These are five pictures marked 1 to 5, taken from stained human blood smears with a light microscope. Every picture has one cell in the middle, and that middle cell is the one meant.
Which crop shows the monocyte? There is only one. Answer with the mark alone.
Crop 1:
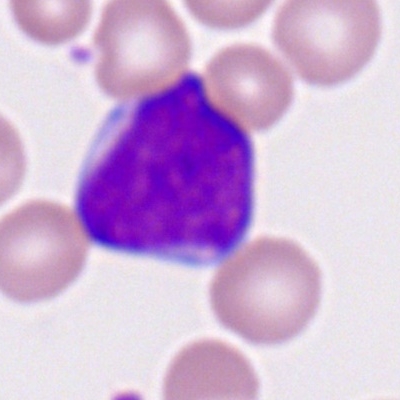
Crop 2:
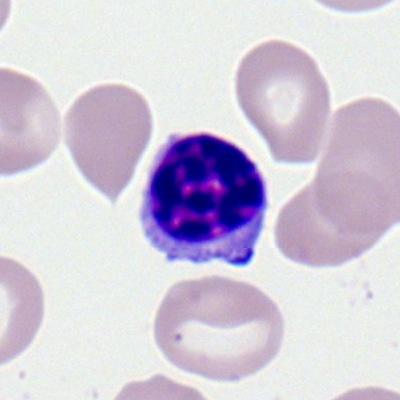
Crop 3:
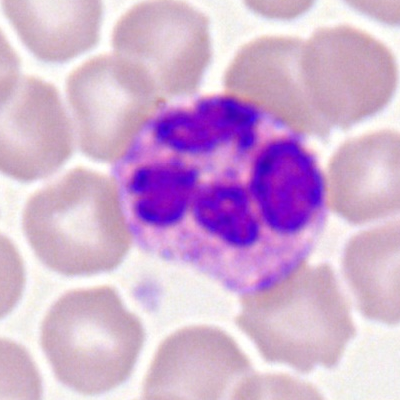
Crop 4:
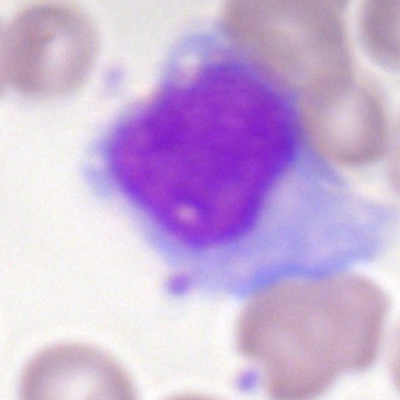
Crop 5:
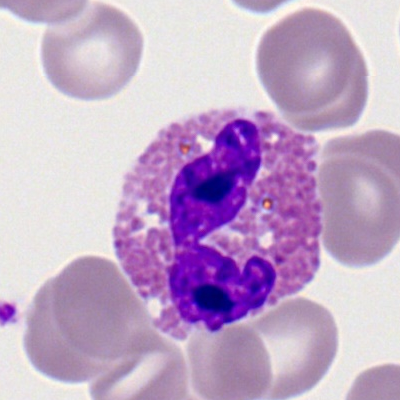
4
